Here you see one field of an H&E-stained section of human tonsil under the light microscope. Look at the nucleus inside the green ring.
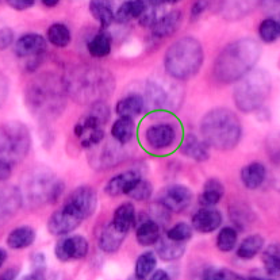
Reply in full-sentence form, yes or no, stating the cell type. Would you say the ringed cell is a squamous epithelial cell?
No, that is wrong: the ringed cell is an endothelial cell, not a squamous epithelial cell.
